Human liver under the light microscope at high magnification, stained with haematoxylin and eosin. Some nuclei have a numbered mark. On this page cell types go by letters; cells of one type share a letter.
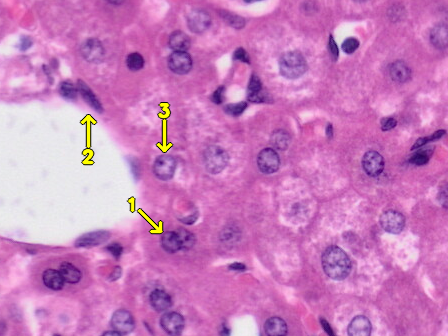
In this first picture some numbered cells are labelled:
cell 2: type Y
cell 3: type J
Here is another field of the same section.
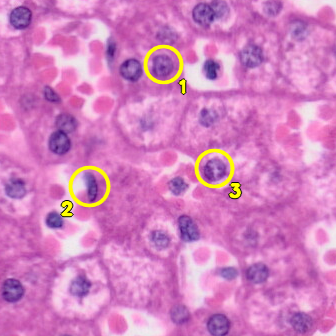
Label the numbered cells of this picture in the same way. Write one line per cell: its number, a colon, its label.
1: type J
2: type Y
3: type J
